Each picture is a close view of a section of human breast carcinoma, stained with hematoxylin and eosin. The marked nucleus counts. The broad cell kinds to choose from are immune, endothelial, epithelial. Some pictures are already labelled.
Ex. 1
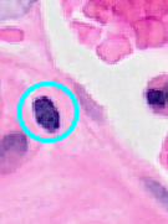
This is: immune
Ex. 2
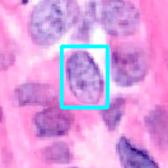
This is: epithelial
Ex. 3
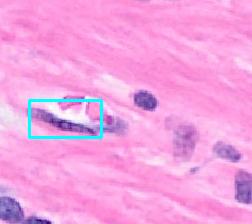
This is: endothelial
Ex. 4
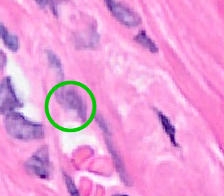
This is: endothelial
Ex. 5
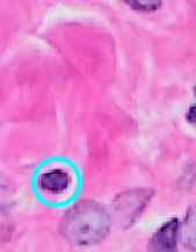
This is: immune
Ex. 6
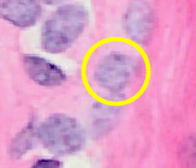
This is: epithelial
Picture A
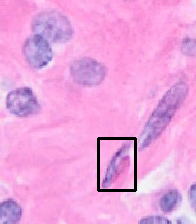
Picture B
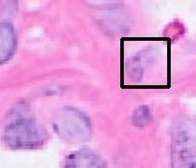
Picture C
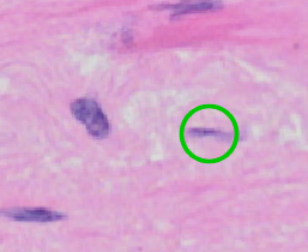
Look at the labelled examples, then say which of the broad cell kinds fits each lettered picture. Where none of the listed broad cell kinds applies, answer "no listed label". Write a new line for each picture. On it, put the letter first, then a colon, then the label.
A: endothelial
B: endothelial
C: no listed label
